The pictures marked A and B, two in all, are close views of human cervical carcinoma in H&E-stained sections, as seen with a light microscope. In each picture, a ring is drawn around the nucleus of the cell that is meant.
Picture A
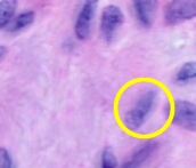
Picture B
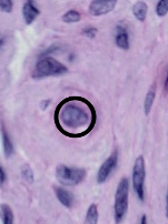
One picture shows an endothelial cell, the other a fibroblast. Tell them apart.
A: fibroblast
B: endothelial cell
